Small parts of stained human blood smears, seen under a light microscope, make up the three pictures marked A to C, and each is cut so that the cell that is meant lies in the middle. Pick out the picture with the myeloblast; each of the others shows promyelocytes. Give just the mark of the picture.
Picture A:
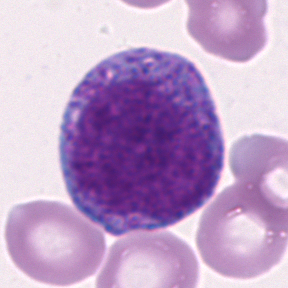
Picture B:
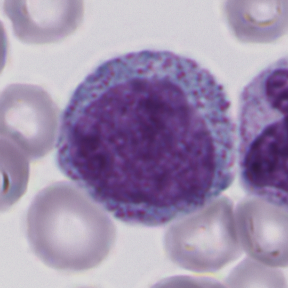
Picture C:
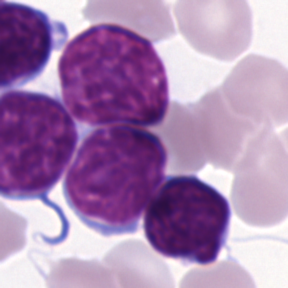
C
